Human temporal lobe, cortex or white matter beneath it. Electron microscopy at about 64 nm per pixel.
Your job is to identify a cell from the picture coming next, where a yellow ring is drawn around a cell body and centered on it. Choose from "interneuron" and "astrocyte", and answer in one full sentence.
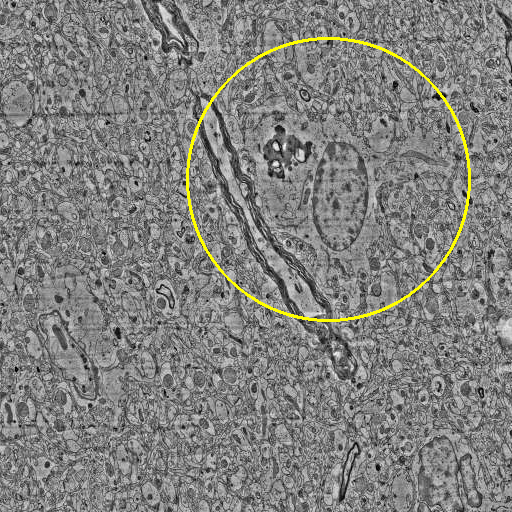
Centered in the yellow ring of the picture is the body of an astrocyte.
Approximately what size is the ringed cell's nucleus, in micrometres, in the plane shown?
Approximately 7 micrometres long and 3 micrometres wide, so clearly longer than it is wide in this plane.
